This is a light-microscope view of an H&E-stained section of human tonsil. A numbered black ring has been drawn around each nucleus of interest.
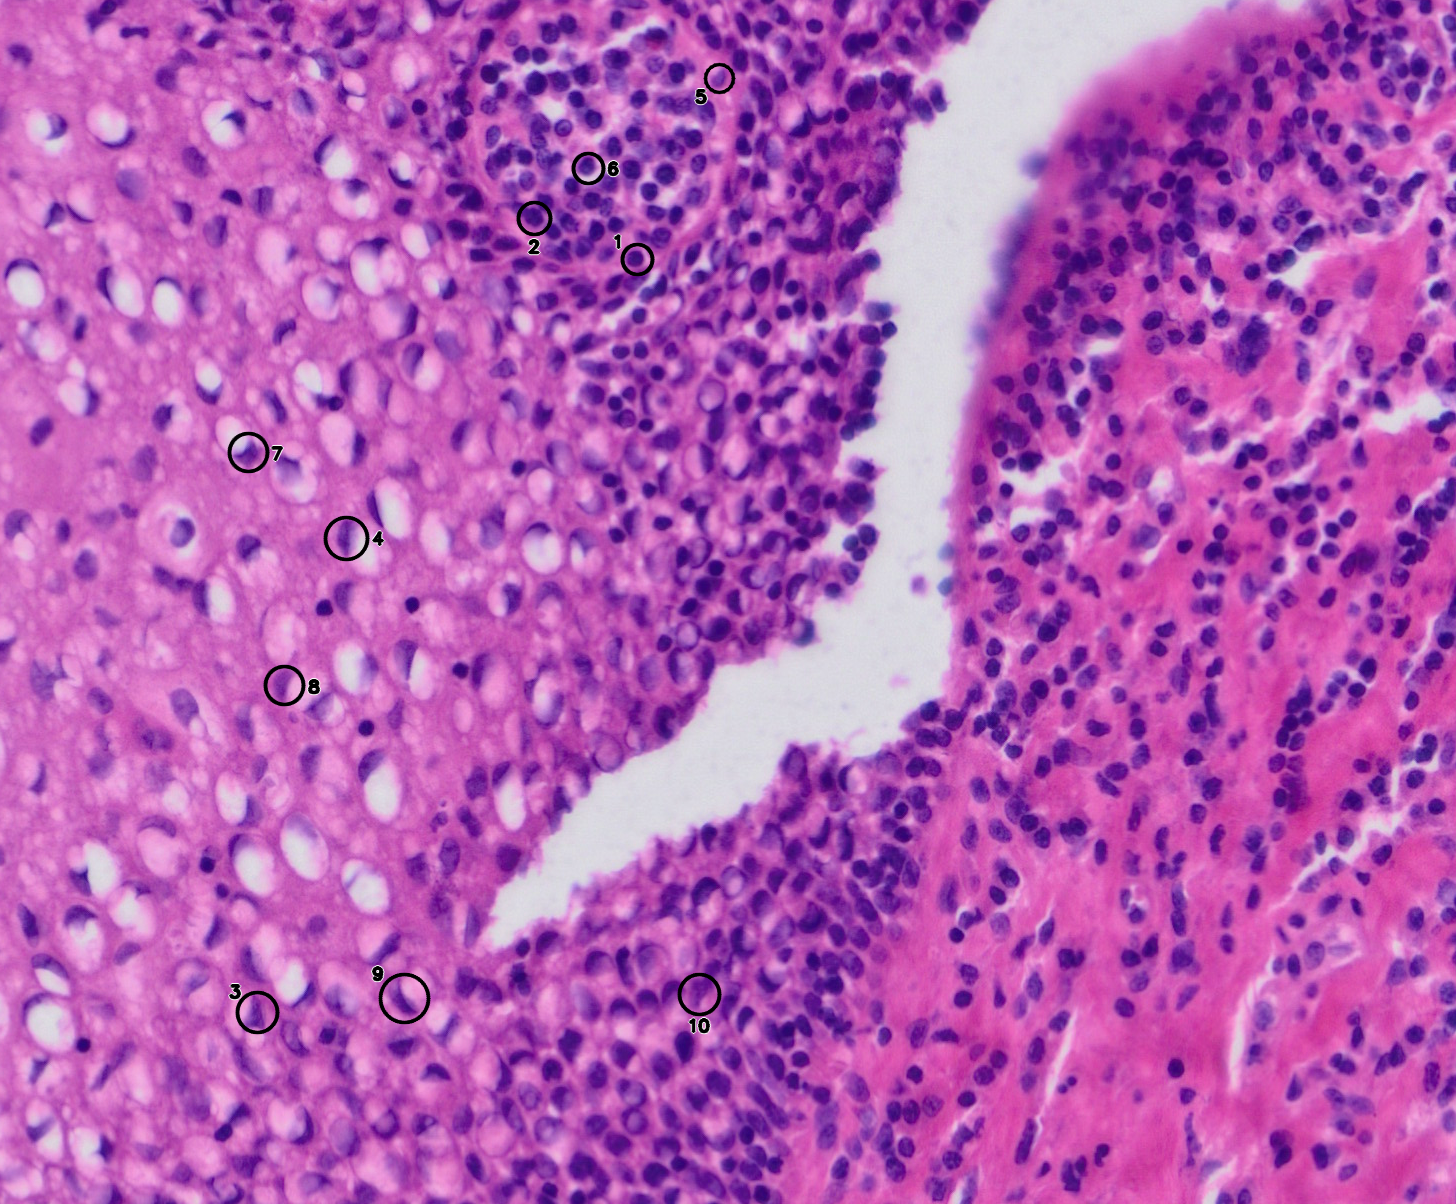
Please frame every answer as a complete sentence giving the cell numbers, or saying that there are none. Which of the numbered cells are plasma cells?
Cells numbered 1, 2 and 6 belong to the group of plasma cells.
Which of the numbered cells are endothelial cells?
Cell 5 is an endothelial cell, and that holds for no other numbered cell.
